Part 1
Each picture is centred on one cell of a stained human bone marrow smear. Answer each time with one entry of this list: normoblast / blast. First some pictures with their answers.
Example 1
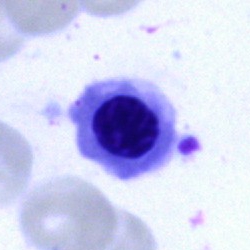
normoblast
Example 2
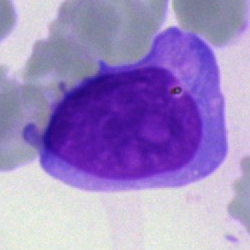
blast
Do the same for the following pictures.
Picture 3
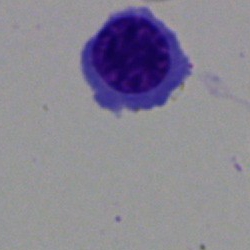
normoblast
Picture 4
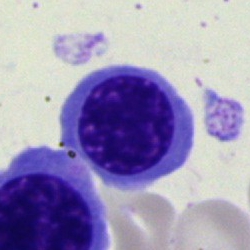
normoblast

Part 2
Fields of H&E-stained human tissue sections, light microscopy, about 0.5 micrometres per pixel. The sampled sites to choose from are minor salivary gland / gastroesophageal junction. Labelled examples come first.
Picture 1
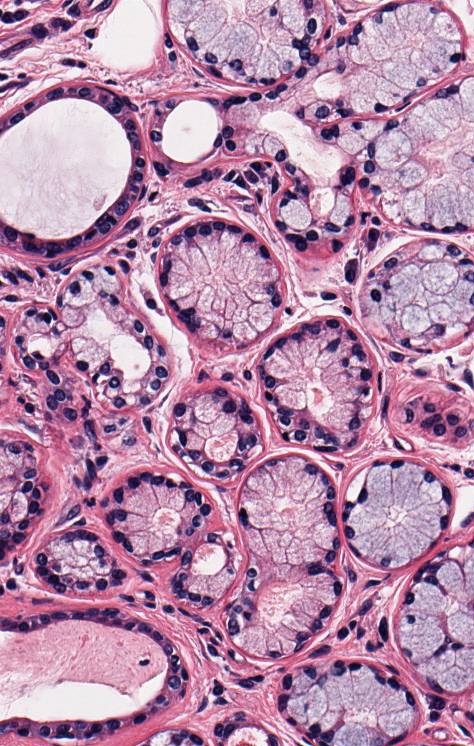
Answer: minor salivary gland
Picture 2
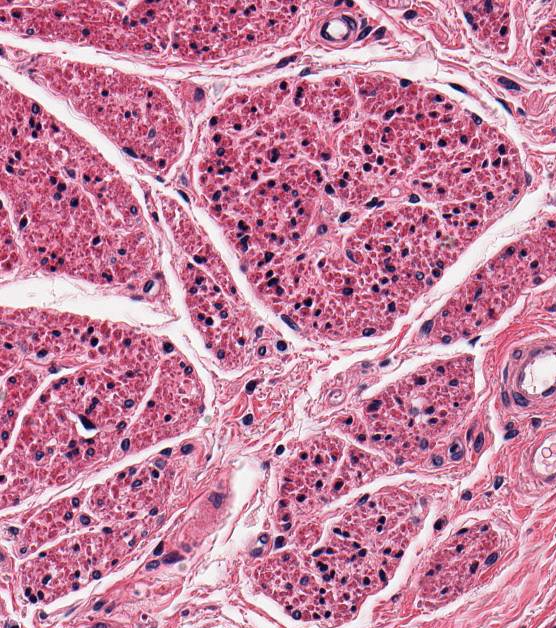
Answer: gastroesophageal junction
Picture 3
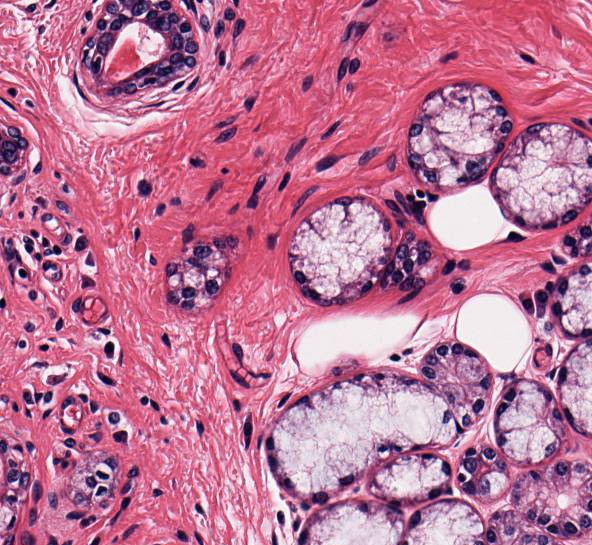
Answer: minor salivary gland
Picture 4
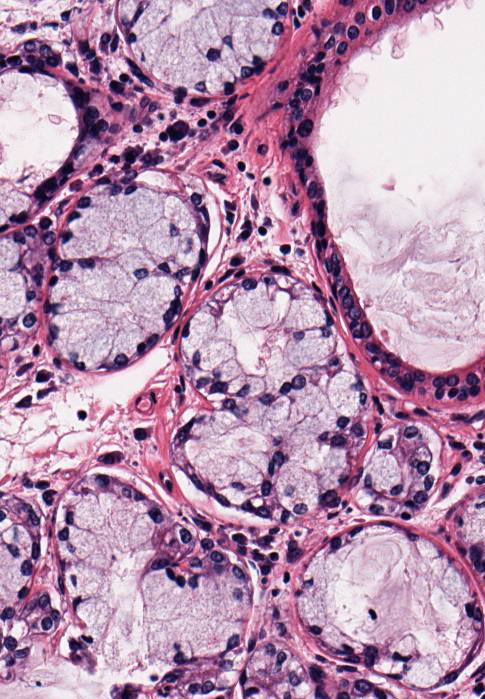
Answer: minor salivary gland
